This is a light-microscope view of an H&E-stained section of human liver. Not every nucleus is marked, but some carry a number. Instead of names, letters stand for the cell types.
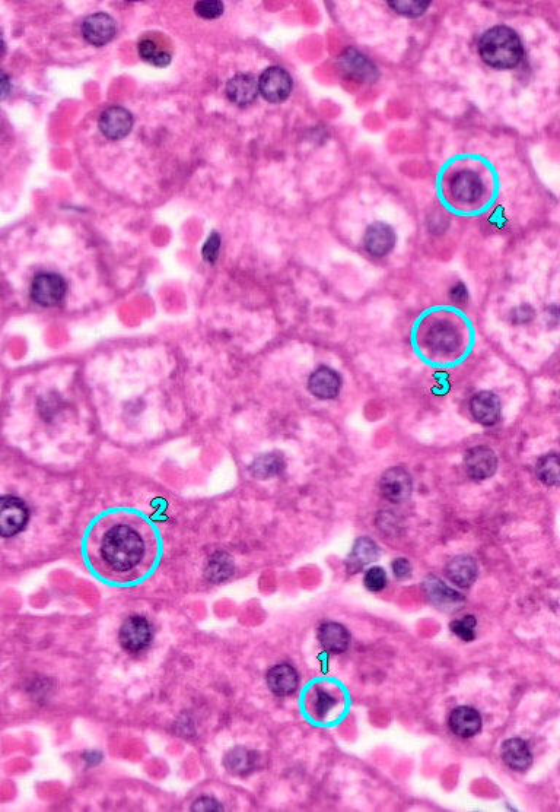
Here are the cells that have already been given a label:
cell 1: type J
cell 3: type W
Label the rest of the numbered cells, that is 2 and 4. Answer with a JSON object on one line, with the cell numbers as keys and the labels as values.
{"2": "type W", "4": "type W"}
